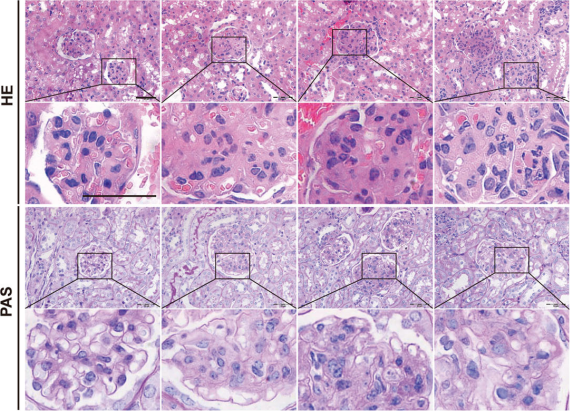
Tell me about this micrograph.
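This is kidney cortex, with round glomeruli lying among many sectioned tubules. Each glomerulus is a tuft of capillary loops with crowded dark blue nuclei, set inside a capsule with a thin clear space around it. The surrounding tubules are lined by cuboidal cells with pink cytoplasm and round nuclei.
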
